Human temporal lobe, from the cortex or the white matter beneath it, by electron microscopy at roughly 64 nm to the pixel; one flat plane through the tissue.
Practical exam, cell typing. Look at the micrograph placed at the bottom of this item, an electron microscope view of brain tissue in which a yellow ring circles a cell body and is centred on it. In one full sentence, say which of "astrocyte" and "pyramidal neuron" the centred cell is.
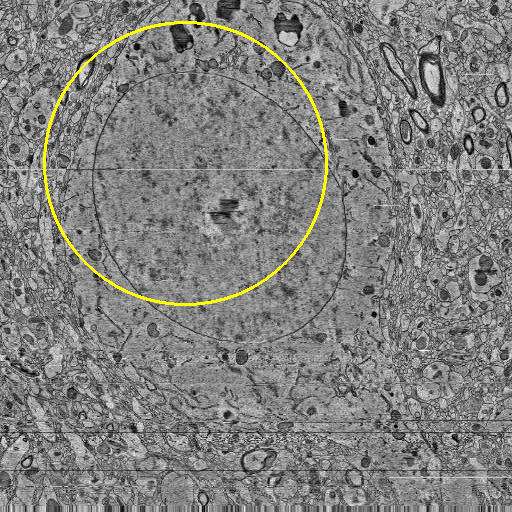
Given the options, a pyramidal neuron fits the cell whose body the yellow ring is centred on.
